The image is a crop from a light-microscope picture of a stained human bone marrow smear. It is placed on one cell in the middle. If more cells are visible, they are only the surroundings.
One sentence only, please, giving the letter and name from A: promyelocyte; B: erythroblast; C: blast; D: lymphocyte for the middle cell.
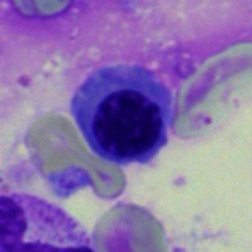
The cell centered in the crop is an erythroblast, making option B the correct pick.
